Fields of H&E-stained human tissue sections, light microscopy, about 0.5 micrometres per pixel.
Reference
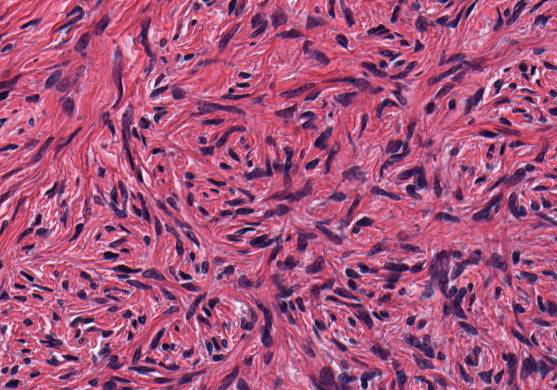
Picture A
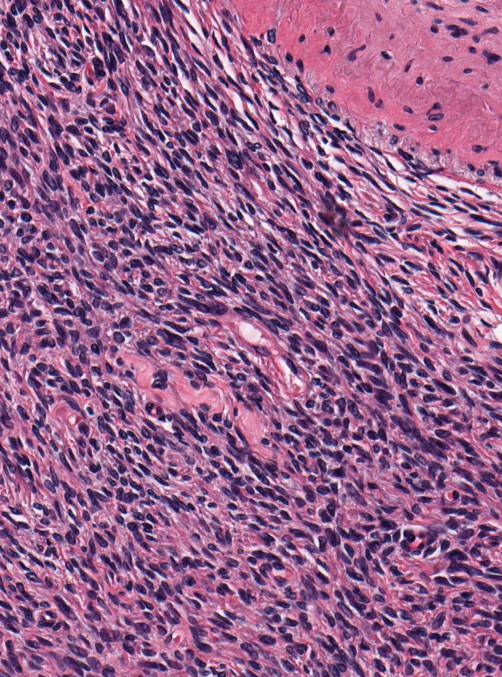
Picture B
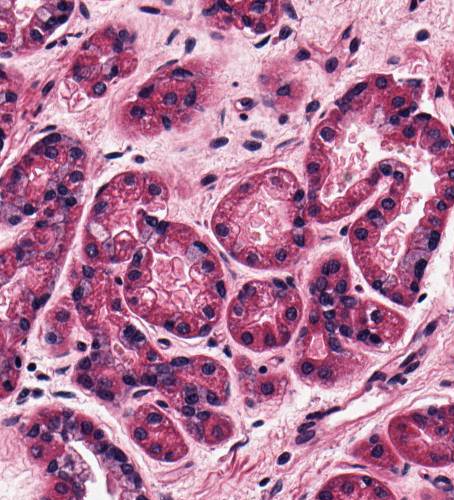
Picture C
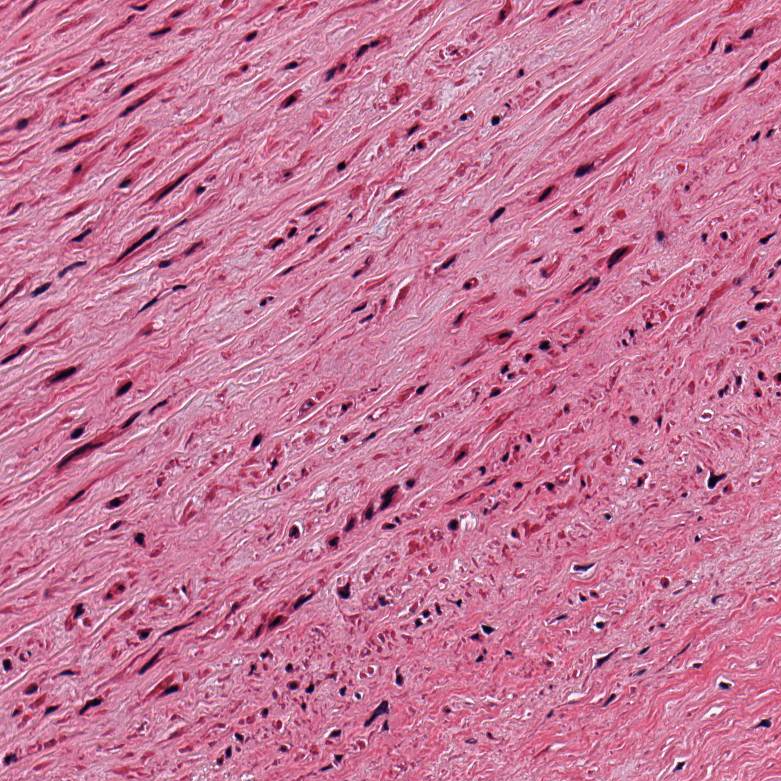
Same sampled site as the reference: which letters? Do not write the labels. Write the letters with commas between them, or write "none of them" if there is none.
A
